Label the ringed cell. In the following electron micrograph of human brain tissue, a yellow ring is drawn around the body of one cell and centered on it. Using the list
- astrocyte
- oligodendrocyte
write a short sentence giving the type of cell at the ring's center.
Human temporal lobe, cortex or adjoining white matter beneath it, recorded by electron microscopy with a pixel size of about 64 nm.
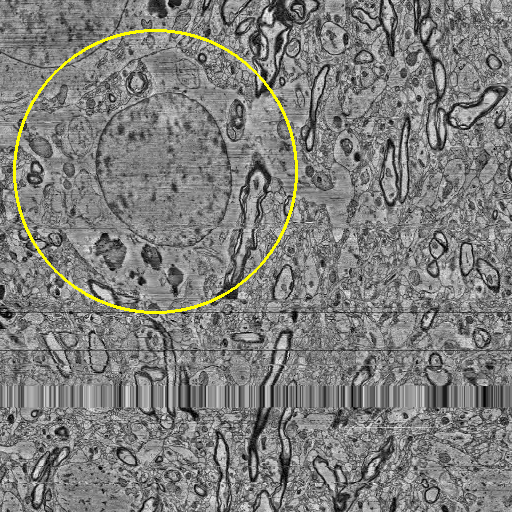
The cell body at the ring's center is that of an astrocyte.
